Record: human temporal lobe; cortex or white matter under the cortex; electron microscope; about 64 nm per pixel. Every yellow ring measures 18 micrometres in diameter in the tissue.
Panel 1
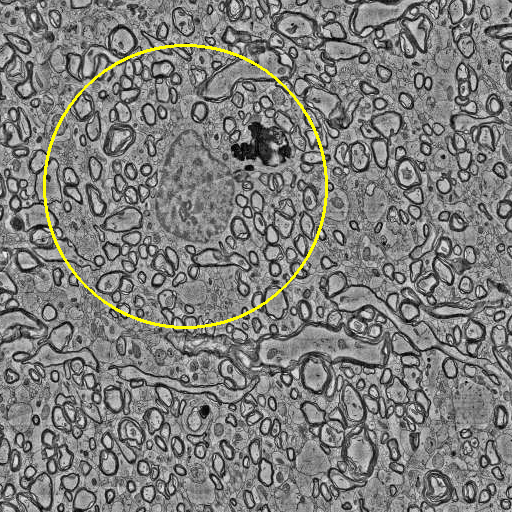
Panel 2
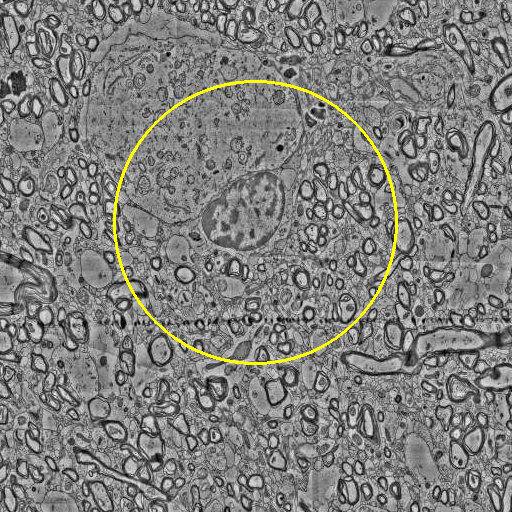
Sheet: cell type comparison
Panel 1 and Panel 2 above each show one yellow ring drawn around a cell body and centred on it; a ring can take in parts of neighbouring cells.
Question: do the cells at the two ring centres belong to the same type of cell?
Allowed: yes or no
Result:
no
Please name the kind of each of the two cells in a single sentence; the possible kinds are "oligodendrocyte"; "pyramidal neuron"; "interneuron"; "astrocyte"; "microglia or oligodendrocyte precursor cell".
In the first picture the ring is centred on an oligodendrocyte, and in the second on a microglial cell or oligodendrocyte precursor cell.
